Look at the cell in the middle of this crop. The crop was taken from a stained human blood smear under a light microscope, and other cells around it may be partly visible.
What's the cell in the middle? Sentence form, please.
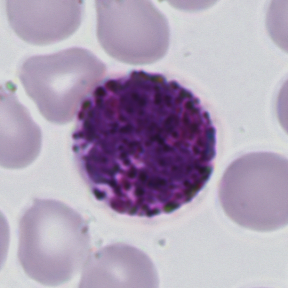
Framed in the middle of the crop is a basophil.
